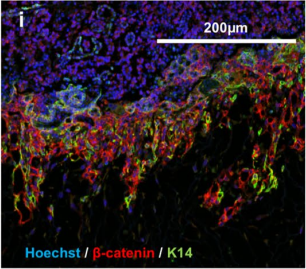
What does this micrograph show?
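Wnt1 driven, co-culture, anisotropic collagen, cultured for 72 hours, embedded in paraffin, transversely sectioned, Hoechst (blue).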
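The upper part is densely packed tumour tissue with many blue nuclei. At the lower border, cells outlined in red and green form elongated strands and finger-like projections that reach down into the darker scaffold. These strands stay connected, so the cells move together as a group rather than one by one. Blue nuclei are scattered along the strands, fewer than in the tumour body above.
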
